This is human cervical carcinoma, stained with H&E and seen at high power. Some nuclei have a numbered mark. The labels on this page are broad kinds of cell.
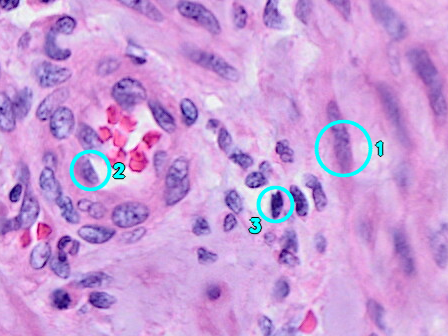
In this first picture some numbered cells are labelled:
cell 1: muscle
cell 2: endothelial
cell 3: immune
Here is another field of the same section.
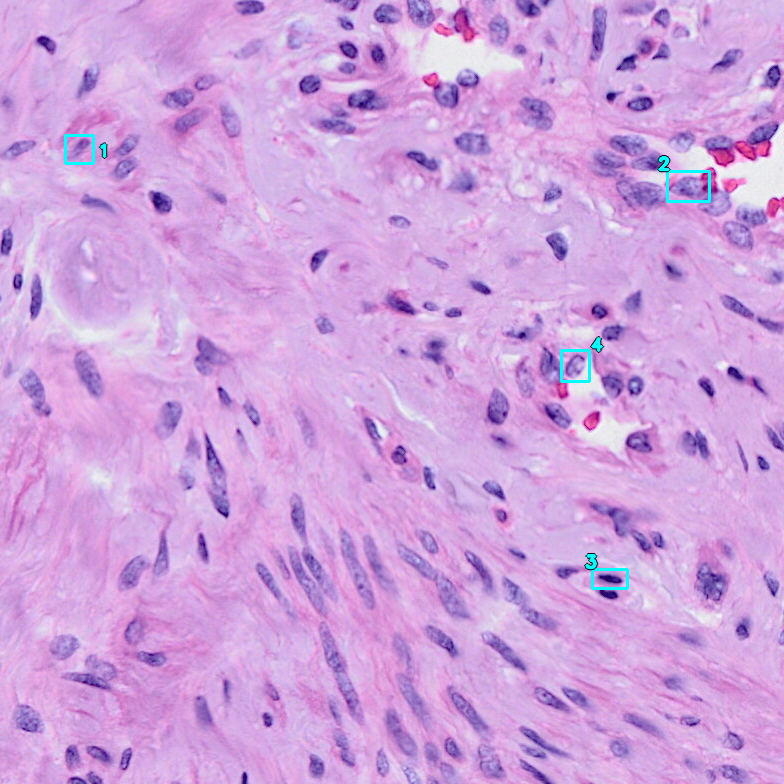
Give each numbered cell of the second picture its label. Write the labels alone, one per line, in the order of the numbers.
muscle
endothelial
immune
endothelial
